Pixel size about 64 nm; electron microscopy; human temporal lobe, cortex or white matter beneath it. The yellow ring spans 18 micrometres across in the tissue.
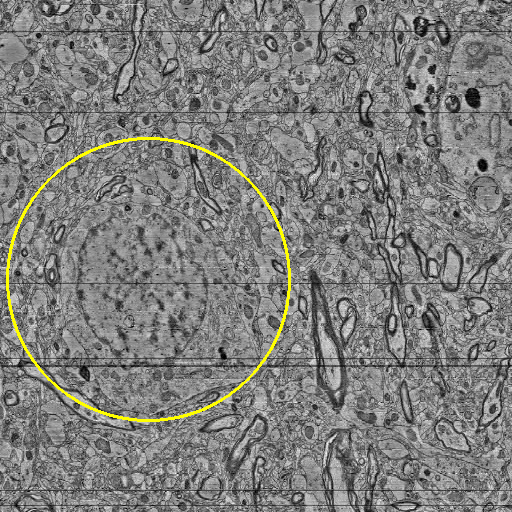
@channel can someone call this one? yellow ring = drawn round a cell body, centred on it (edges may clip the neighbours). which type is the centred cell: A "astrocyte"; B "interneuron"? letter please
B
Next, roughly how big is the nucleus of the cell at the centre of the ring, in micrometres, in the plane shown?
About 11 by 8 micrometers for the nucleus, in this plane.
